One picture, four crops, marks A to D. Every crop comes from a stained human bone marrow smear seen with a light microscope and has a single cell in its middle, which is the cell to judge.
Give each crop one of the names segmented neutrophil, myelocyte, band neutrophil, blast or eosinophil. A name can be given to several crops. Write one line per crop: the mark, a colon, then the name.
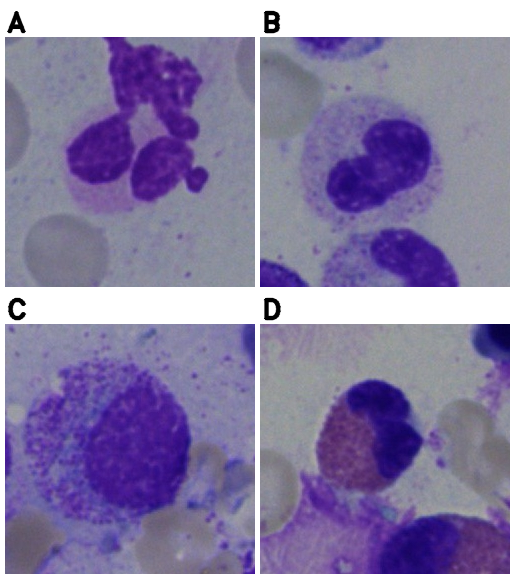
A: segmented neutrophil
B: band neutrophil
C: myelocyte
D: eosinophil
